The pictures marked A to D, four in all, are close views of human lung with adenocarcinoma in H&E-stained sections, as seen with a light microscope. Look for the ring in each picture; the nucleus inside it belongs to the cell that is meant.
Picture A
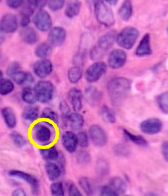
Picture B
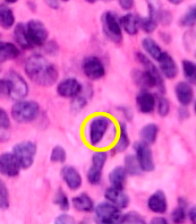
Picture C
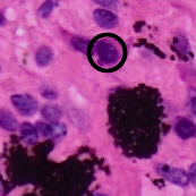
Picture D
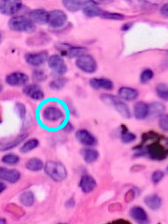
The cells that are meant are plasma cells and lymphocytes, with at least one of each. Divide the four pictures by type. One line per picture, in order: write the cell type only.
lymphocyte
lymphocyte
plasma cell
lymphocyte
